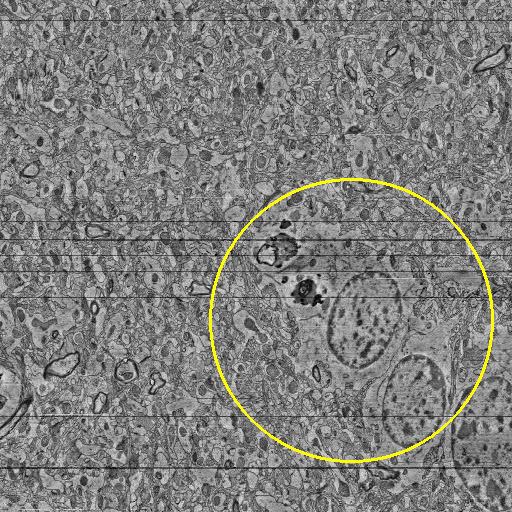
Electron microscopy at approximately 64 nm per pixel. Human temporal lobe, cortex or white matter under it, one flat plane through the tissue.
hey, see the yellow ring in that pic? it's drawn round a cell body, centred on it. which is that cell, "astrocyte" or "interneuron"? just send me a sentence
The cell in the ring is an astrocyte.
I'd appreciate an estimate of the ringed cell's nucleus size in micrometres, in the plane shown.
The nucleus measures about 7 by 4 micrometres in this plane.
